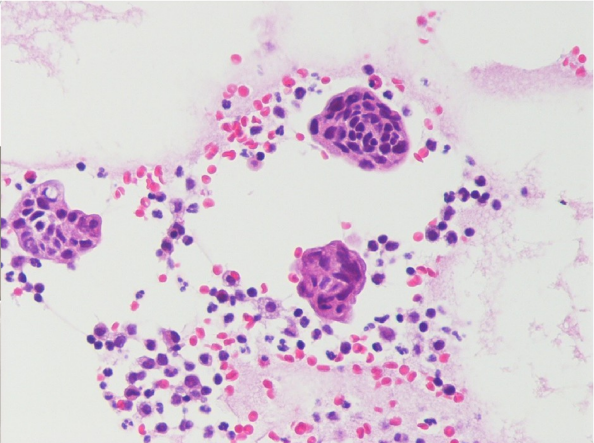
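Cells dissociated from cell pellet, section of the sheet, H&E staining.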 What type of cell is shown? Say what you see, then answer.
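Three cohesive, rounded clusters of large cells with crowded purple nuclei and pink cytoplasm. Many small, scattered, dark round nuclei of single cells around the clusters. Numerous bright pink red blood cells among the small cells.
Hence: Cancer and inflammatory cells.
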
